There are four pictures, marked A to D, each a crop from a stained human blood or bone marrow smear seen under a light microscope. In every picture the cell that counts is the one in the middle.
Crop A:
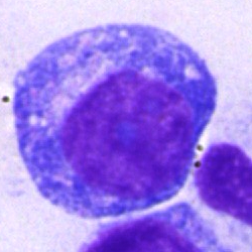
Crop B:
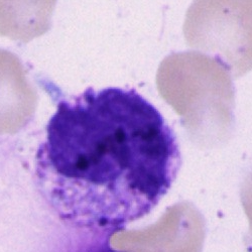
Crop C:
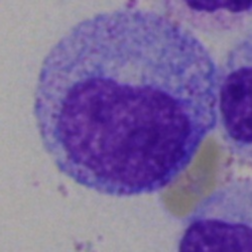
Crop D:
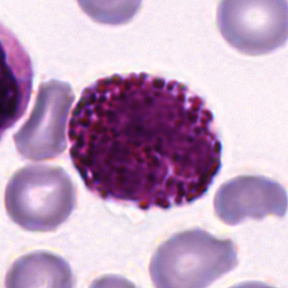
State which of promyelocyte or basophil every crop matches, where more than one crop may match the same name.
A: promyelocyte
B: basophil
C: promyelocyte
D: basophil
